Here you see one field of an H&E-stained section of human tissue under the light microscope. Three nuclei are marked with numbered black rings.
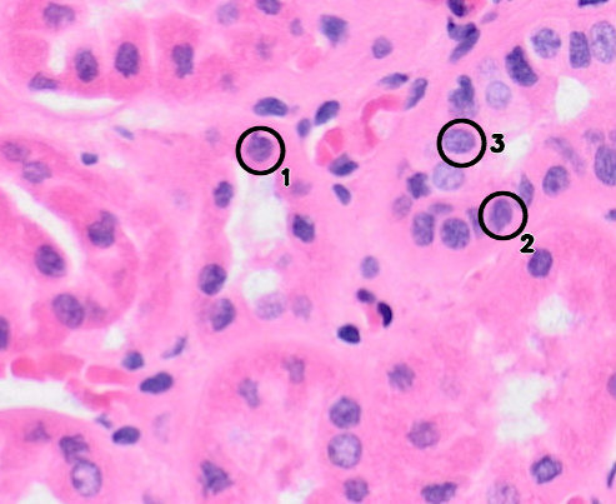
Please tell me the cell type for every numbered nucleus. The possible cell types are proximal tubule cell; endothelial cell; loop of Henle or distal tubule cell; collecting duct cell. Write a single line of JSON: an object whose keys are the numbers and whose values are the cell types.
{"1": "loop of Henle or distal tubule cell", "2": "collecting duct cell", "3": "collecting duct cell"}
